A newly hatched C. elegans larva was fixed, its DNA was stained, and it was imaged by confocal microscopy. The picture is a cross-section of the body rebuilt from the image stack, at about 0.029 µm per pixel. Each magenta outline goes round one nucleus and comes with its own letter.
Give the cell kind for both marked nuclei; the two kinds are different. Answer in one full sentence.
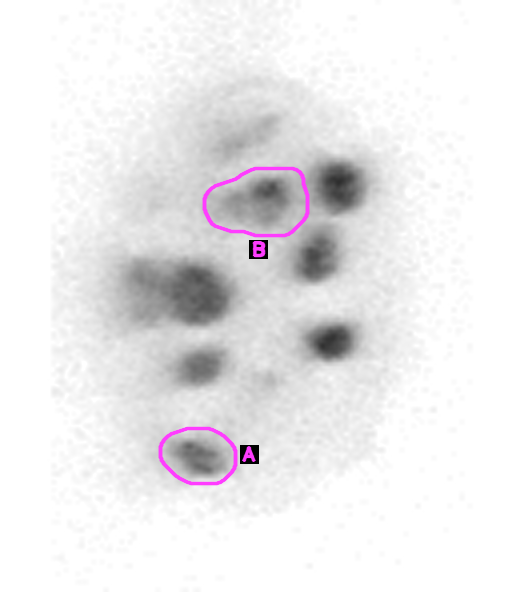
A belongs to a body wall muscle cell and B to a pharyngeal marginal cell.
